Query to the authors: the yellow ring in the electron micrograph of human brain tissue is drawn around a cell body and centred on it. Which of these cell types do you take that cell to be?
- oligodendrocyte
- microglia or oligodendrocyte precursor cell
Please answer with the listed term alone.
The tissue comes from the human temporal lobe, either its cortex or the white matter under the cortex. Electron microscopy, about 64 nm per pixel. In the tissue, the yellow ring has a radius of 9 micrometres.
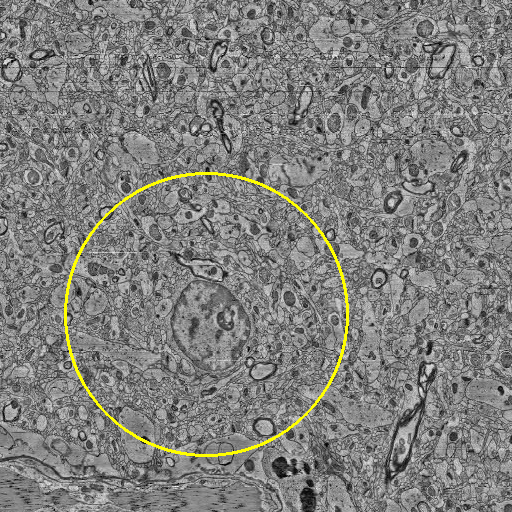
oligodendrocyte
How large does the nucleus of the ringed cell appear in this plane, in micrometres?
The nucleus comes to roughly 7 by 5 micrometres in this plane.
